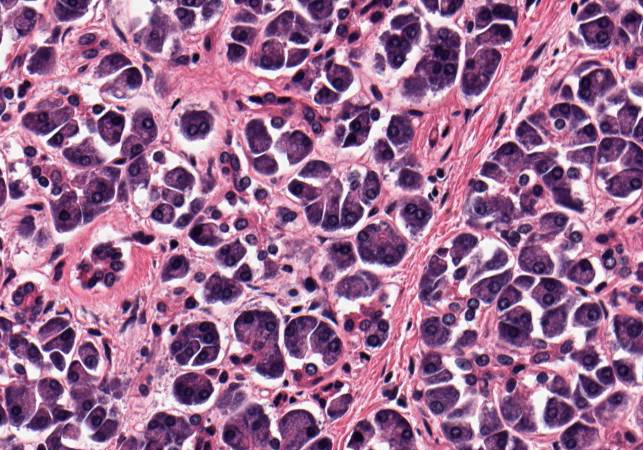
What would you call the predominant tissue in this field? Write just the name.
exocrine pancreas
